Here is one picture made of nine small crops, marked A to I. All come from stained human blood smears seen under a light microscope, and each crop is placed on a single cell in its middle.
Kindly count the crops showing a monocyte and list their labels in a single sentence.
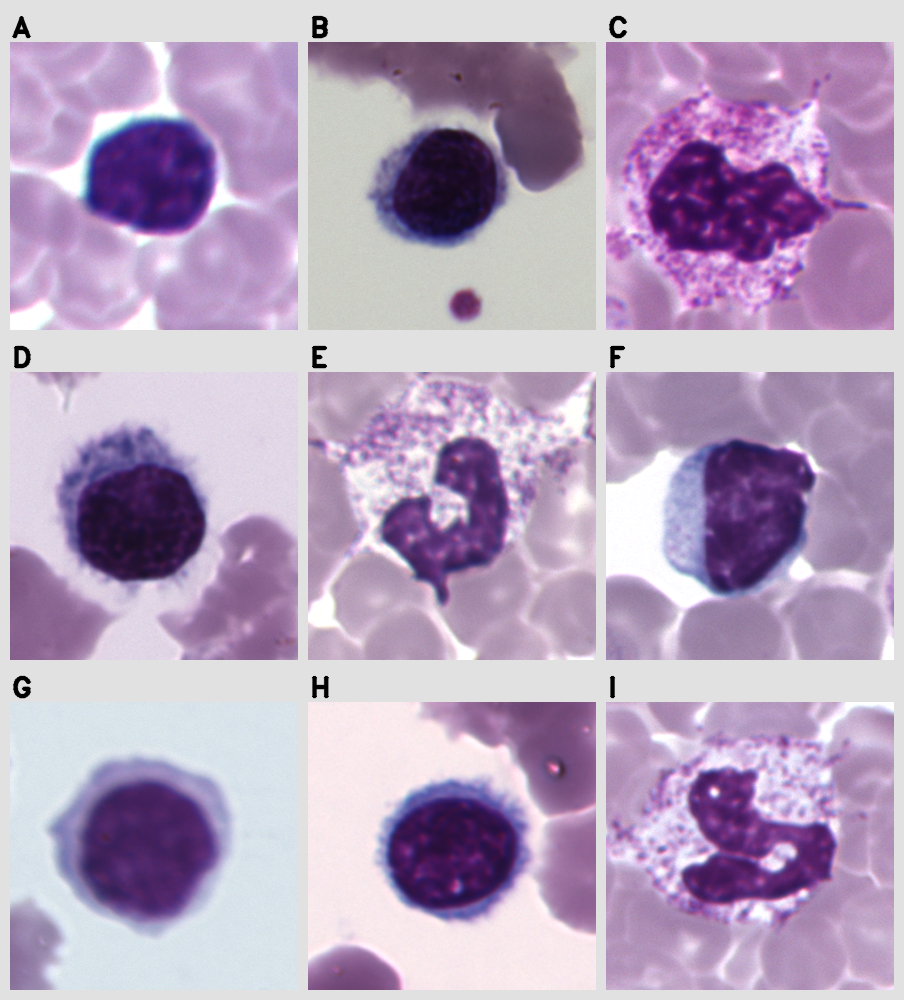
No monocytes are present in any crop, so the count is zero.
